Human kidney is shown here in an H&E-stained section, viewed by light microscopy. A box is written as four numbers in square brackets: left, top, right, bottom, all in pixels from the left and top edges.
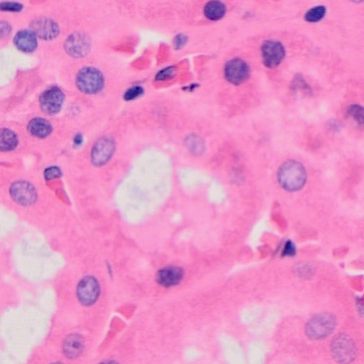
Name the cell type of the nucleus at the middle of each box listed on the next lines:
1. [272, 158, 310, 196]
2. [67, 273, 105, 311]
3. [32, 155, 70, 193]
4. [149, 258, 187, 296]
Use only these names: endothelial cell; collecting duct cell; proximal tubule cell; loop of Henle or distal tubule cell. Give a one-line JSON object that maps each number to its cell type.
{"1": "proximal tubule cell", "2": "proximal tubule cell", "3": "endothelial cell", "4": "proximal tubule cell"}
